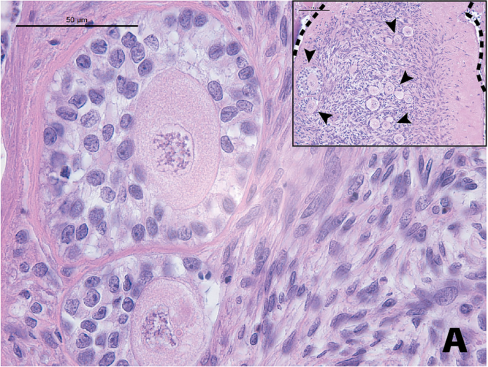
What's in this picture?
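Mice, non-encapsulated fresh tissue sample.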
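Two follicles sit side by side in the tissue, each with a round central cell surrounded by a ring of smaller cells. The central cells have pale pink, finely textured cytoplasm and a nucleus with clumped dark material. Outside the follicles the tissue is made of spindle-shaped cells with elongated nuclei running in streams. The inset shows several small follicles scattered through the tissue at low power.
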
